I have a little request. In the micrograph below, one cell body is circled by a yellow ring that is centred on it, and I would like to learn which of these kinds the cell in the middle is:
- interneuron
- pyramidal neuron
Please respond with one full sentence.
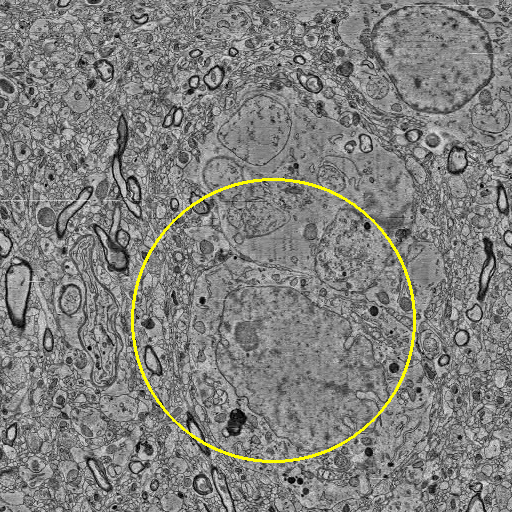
The cell sitting in the middle of the yellow ring in the micrograph is an interneuron.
